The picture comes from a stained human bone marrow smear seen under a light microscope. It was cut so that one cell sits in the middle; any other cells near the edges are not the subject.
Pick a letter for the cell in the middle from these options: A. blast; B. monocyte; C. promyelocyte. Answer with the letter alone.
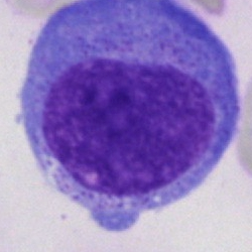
A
